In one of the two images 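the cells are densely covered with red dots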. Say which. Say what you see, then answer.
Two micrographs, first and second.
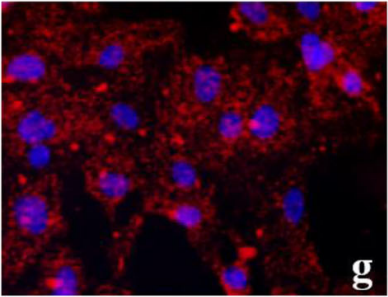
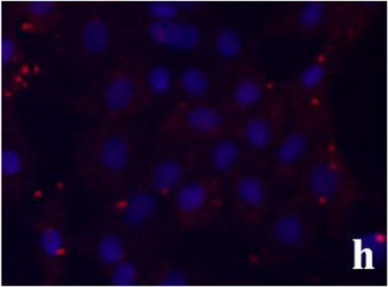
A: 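Second image: only a few scattered red dots among blue nuclei. First image: dense red dots fill the cytoplasm around most nuclei.
The first image.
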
